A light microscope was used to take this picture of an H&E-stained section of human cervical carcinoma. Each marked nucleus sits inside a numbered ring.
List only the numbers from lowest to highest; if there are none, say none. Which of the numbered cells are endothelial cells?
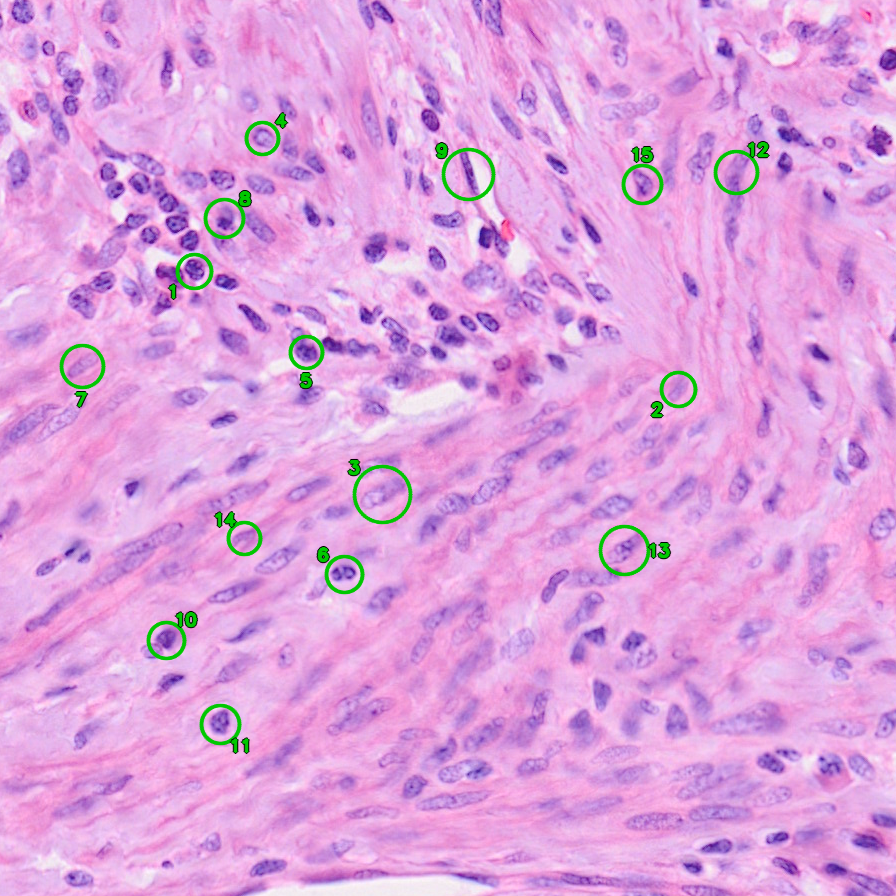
9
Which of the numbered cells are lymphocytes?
1, 5, 6, 8, 10, 11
